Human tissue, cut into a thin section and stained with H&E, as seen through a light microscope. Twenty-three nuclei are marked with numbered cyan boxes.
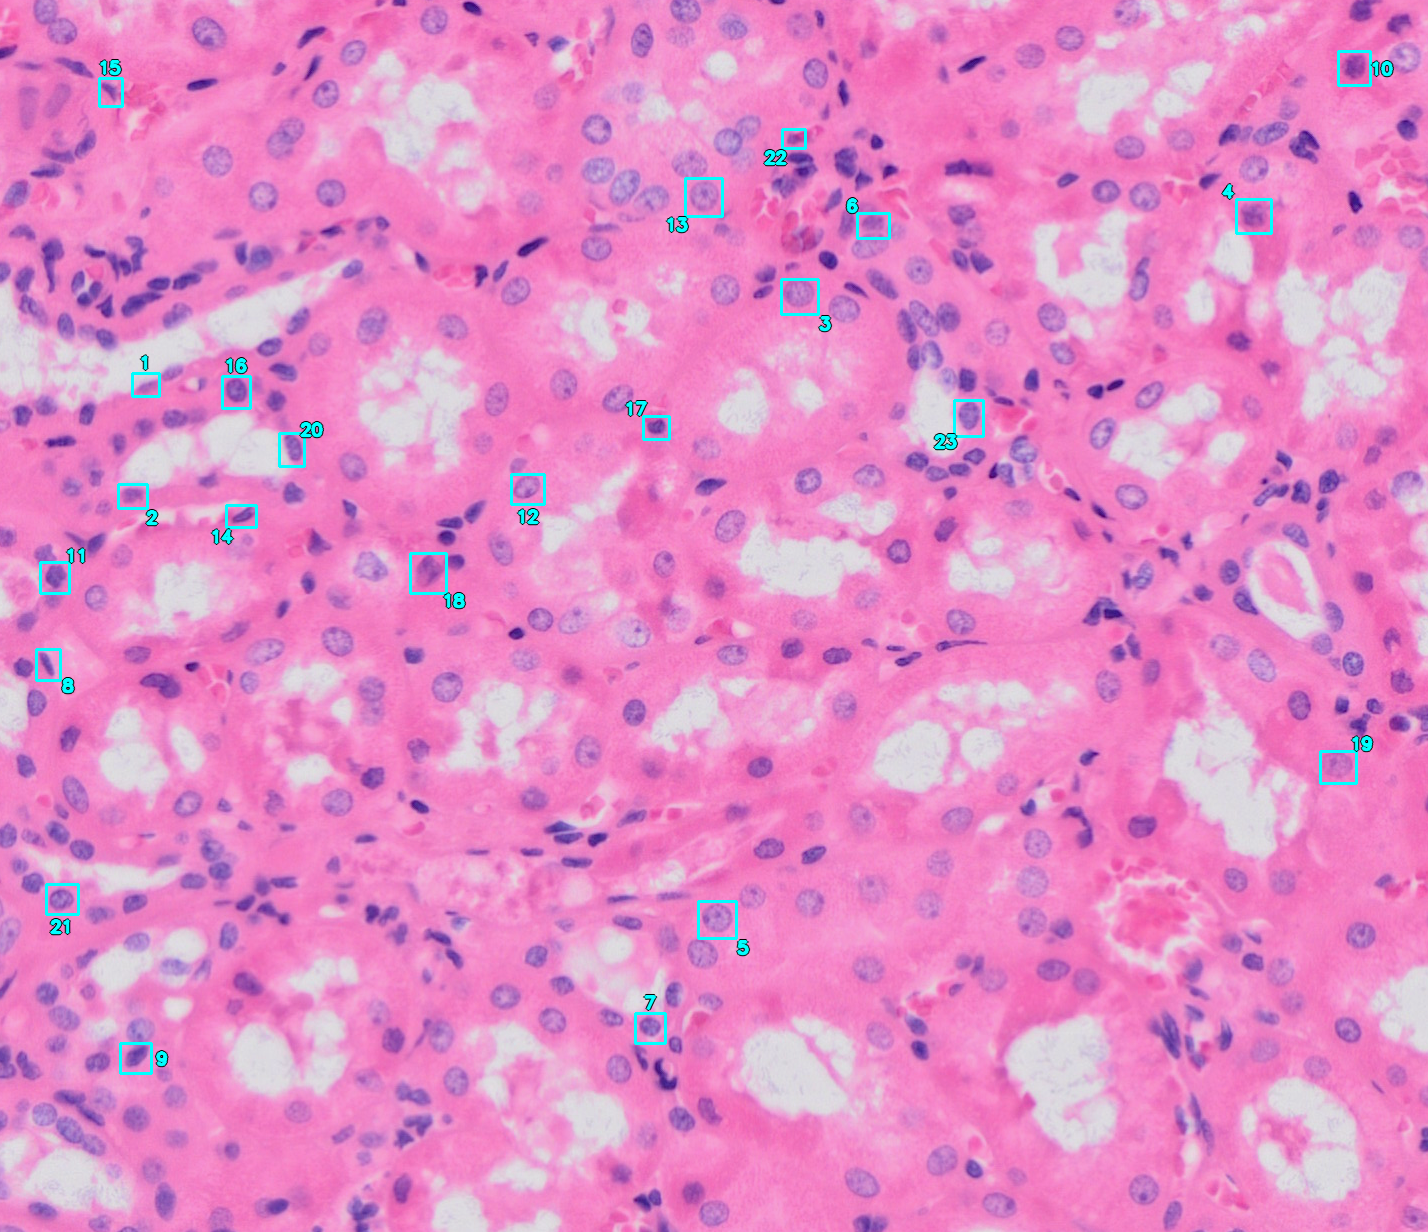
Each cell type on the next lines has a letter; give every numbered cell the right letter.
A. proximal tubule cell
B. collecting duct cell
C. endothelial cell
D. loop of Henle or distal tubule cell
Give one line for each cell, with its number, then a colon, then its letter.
1: D
2: D
3: A
4: A
5: A
6: B
7: D
8: C
9: B
10: A
11: D
12: A
13: A
14: C
15: C
16: B
17: C
18: A
19: A
20: D
21: B
22: C
23: B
